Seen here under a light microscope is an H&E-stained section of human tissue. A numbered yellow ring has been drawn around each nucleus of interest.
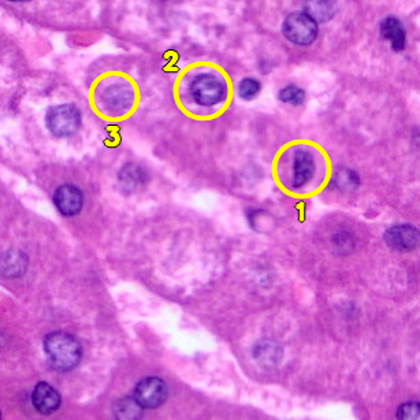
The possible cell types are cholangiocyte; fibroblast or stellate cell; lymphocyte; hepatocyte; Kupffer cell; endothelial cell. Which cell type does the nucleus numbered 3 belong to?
hepatocyte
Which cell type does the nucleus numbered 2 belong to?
hepatocyte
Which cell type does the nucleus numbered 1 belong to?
fibroblast or stellate cell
